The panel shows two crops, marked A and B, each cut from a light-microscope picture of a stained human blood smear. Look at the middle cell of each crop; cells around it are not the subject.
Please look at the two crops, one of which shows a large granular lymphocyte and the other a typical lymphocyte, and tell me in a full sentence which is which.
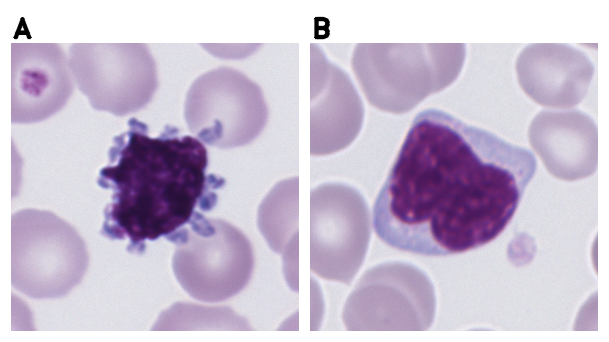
The designated cell in crop A is a typical lymphocyte, and the designated cell in crop B is a large granular lymphocyte.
